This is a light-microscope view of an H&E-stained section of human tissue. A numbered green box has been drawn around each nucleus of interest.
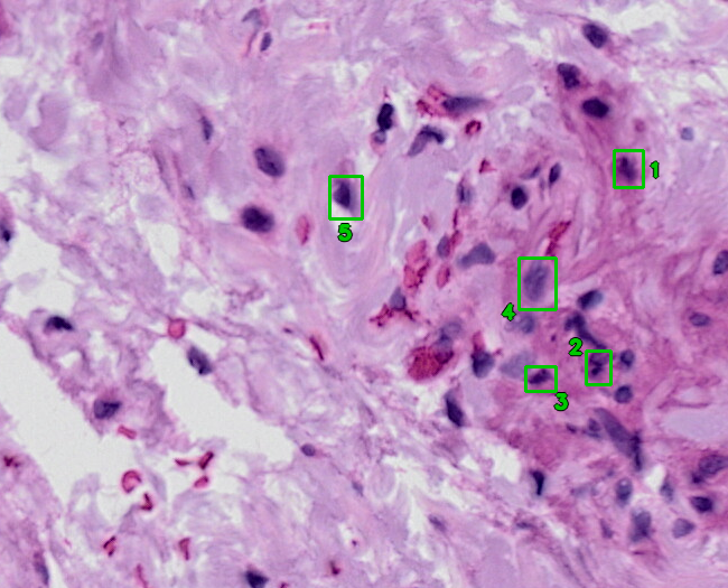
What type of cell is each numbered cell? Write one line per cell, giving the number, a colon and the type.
1: smooth muscle cell
2: smooth muscle cell
3: smooth muscle cell
4: endothelial cell
5: fibroblast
